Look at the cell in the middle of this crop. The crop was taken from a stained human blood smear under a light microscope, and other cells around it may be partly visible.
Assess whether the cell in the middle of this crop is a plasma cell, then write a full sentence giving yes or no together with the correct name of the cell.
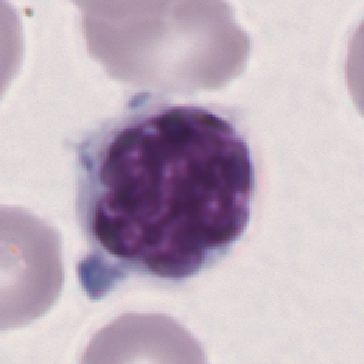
Yes, the cell at the middle of the field is to be classed as a plasma cell.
